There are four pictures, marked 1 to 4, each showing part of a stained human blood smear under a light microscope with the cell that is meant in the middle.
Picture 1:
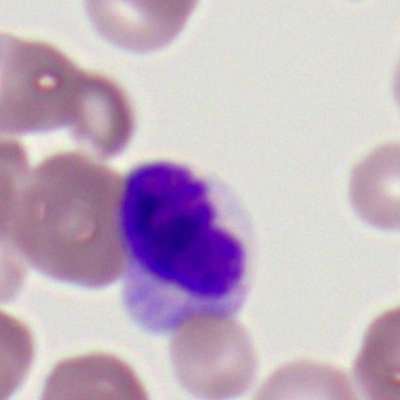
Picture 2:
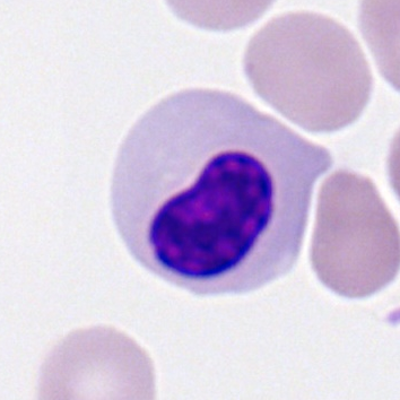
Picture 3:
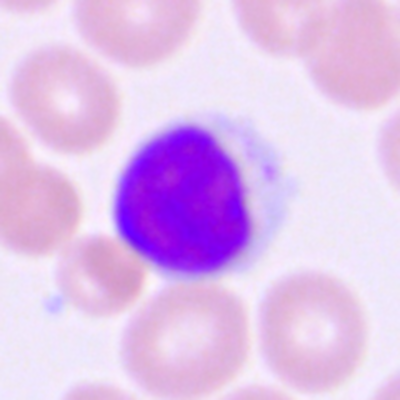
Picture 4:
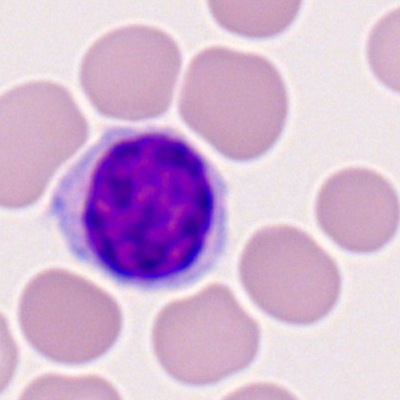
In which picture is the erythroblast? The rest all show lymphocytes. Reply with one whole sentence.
It is picture 2 that shows the erythroblast.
